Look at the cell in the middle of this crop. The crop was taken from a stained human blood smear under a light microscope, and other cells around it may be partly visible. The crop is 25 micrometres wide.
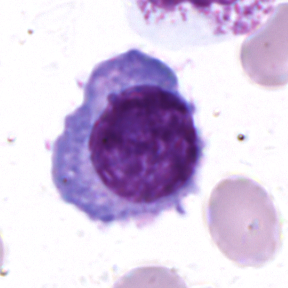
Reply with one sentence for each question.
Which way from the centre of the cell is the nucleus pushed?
Seen from the middle of the cell, the nucleus lies toward the right.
